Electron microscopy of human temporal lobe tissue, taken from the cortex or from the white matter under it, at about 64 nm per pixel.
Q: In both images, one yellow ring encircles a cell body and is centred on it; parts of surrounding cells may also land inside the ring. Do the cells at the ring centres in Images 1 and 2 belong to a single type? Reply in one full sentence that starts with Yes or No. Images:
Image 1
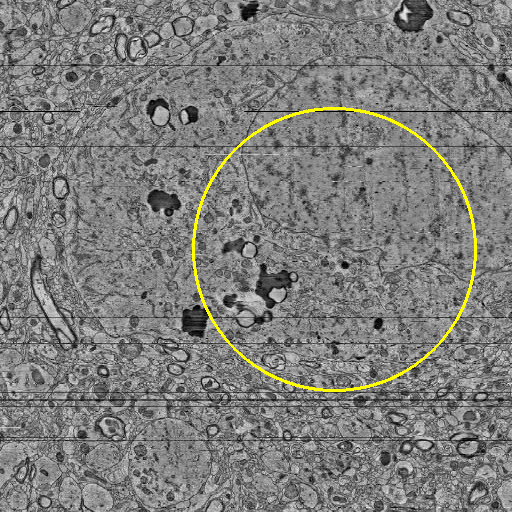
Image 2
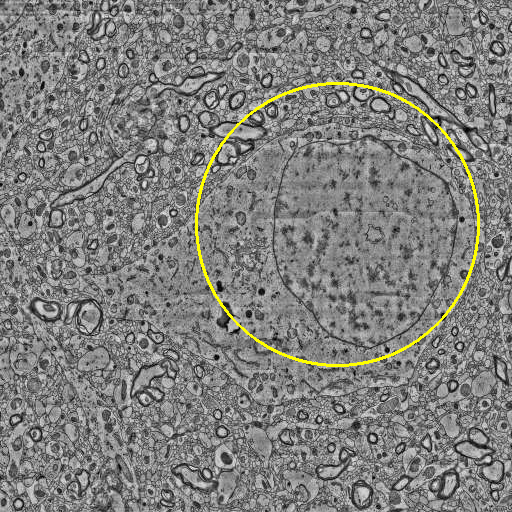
Yes, the cells at the ring centres in Images 1 and 2 are of a single type.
